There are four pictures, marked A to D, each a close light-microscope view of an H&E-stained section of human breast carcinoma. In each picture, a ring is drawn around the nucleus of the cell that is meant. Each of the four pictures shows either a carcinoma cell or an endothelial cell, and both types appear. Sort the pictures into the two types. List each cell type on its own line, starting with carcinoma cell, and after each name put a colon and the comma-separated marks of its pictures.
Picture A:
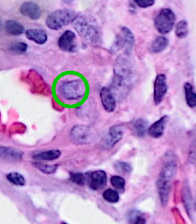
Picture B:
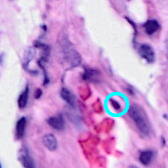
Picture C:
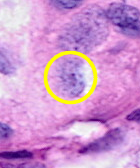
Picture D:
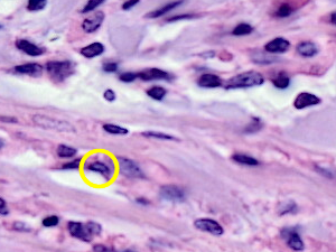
carcinoma cell: C
endothelial cell: A, B, D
